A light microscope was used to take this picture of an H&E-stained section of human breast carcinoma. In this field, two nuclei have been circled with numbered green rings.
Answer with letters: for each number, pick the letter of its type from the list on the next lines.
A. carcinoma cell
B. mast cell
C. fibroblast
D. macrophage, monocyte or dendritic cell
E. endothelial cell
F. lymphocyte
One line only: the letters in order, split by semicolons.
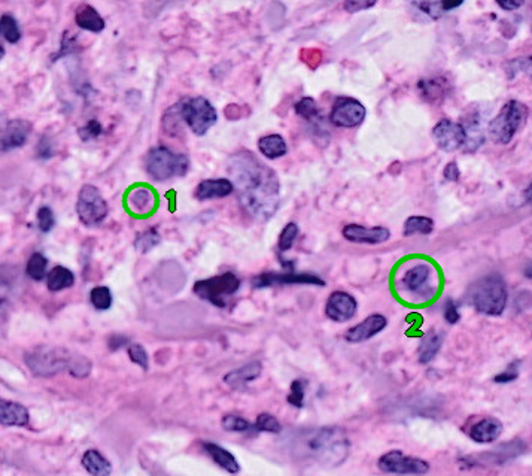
D; F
